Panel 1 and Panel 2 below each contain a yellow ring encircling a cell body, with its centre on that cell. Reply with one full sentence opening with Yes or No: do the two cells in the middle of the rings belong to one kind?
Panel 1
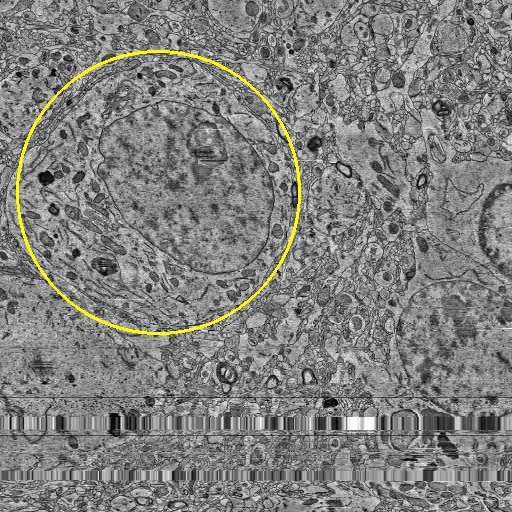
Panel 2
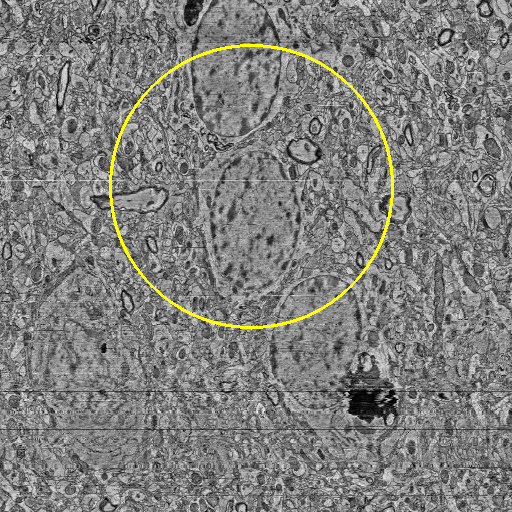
No, the cells at the middle of the Panel 1 ring and the Panel 2 ring are of two kinds.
